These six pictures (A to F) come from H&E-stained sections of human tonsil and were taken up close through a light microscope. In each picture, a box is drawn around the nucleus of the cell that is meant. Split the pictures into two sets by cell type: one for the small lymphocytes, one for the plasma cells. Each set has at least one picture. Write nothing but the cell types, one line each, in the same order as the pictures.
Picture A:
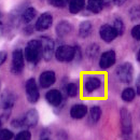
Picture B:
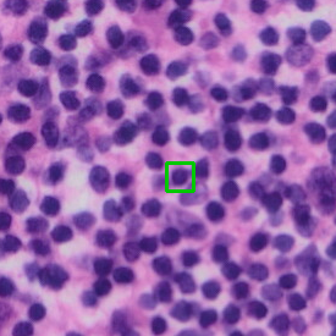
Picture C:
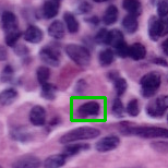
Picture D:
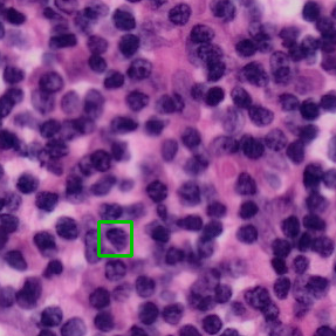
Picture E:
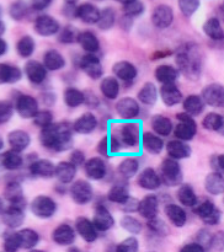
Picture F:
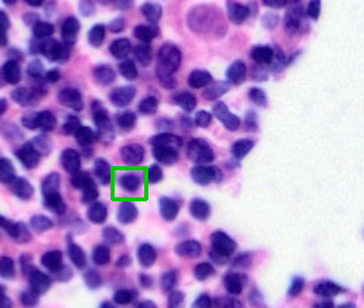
plasma cell
small lymphocyte
plasma cell
small lymphocyte
small lymphocyte
small lymphocyte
